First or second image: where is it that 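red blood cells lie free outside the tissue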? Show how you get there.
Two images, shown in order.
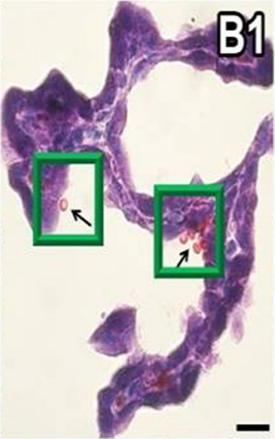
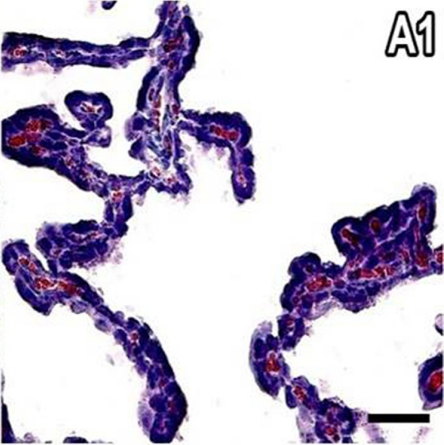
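First image: round red discs sit at the tissue's free edge, marked by arrows. Second image: red cells lie only within the cores of the fronds.
The first image.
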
